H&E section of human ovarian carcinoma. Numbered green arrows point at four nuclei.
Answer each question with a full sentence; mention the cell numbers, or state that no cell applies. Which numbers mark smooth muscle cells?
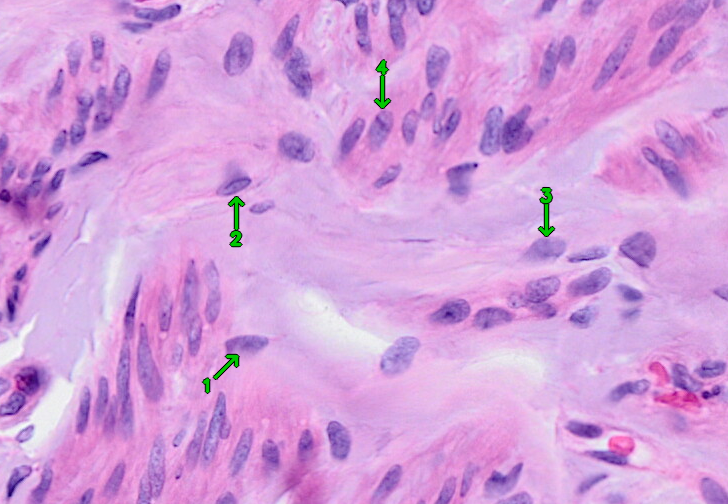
Cell 4, and no other numbered cell, is a smooth muscle cell.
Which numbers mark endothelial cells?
Honestly, none of the numbered cells are endothelial cells.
